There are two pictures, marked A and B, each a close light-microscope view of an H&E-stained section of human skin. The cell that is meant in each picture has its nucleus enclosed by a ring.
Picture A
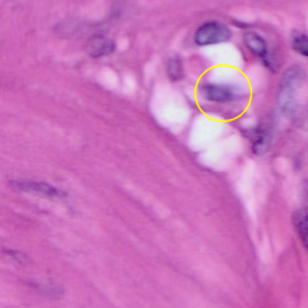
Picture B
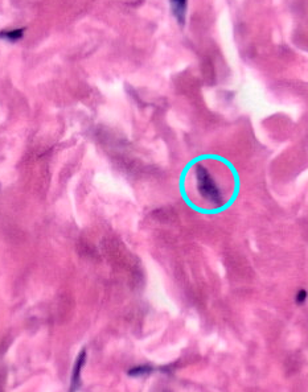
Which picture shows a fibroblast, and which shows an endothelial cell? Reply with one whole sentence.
Picture B shows a fibroblast, while picture A shows an endothelial cell.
